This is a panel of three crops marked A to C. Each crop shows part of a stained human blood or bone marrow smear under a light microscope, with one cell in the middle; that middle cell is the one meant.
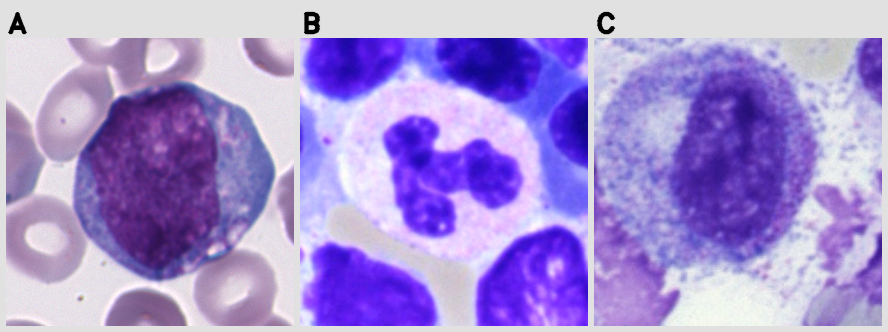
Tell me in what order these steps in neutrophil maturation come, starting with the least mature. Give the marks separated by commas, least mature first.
A, C, B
